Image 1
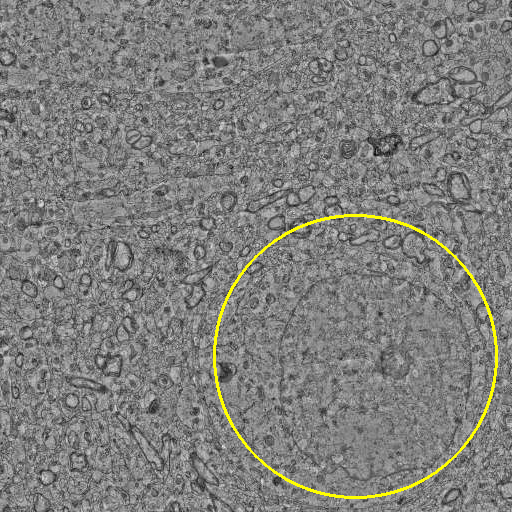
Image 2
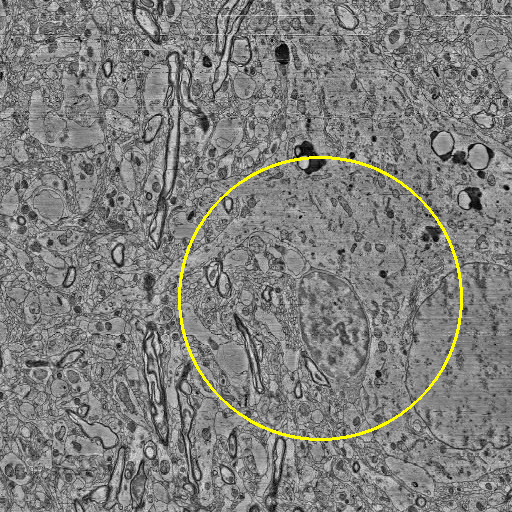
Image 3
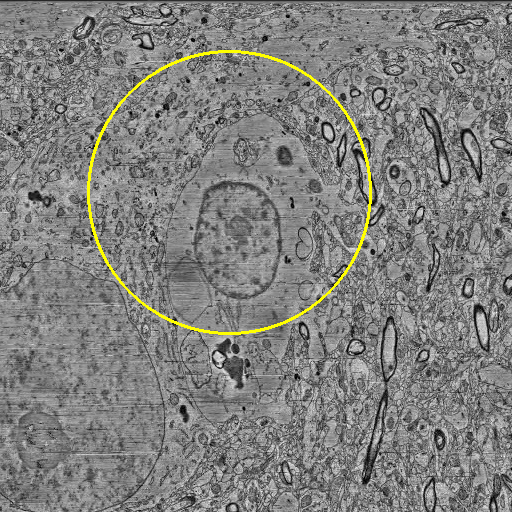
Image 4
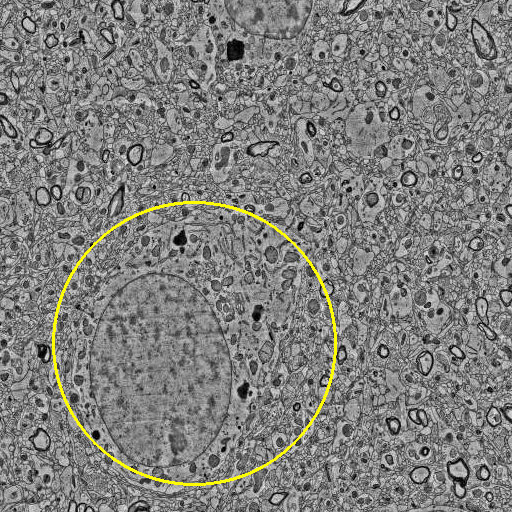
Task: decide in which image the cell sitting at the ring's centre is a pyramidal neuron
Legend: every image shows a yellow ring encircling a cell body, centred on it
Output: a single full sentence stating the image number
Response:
In image 1, the cell at the middle of the ring is the match.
